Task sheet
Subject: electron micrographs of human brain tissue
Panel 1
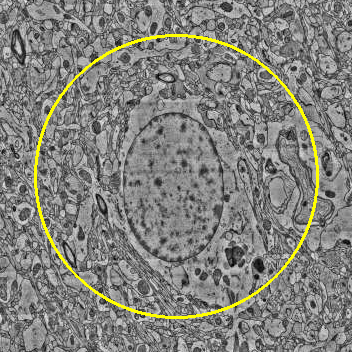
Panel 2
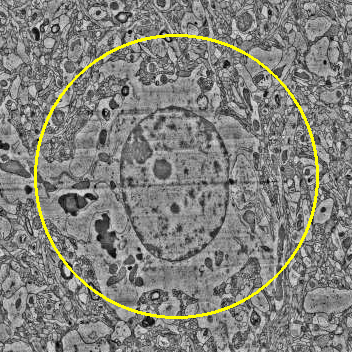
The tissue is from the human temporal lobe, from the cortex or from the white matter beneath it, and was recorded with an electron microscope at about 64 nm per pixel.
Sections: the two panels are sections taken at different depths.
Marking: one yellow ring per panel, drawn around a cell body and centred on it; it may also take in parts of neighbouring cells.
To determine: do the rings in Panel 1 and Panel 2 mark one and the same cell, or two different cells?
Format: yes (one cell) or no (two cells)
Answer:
no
